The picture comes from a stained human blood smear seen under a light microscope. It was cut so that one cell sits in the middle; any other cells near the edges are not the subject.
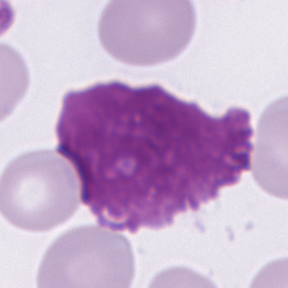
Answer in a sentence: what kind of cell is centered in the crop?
Standing at the centre of this crop is a smudge cell.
